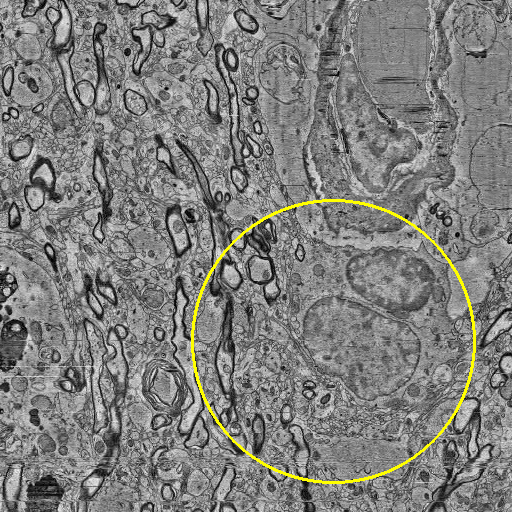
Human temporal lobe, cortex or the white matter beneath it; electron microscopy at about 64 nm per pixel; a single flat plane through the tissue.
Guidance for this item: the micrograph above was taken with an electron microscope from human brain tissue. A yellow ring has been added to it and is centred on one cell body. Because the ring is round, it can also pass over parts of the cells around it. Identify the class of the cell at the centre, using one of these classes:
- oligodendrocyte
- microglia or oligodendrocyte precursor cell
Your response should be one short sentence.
The ring surrounds the body of an oligodendrocyte.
